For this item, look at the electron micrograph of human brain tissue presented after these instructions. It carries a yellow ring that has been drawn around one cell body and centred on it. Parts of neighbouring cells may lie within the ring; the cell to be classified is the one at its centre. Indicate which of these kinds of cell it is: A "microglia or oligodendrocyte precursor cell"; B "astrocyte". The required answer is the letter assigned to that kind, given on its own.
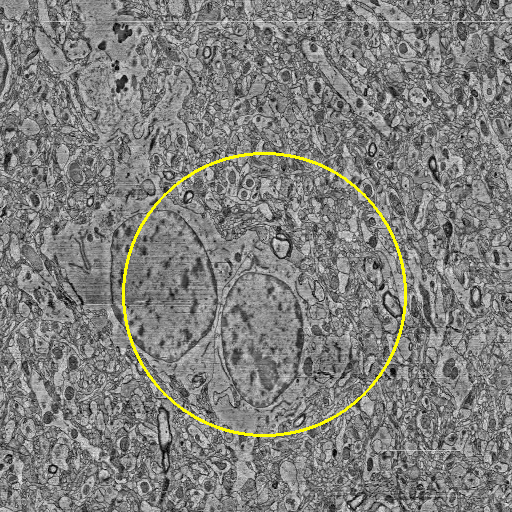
B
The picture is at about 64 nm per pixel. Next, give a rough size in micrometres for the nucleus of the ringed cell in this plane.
About 9 by 5 micrometers in this plane, so the nucleus is clearly longer than it is wide.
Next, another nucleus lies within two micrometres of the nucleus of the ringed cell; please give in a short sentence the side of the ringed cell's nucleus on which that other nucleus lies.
The other nucleus lies to the upper left of it in the picture.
